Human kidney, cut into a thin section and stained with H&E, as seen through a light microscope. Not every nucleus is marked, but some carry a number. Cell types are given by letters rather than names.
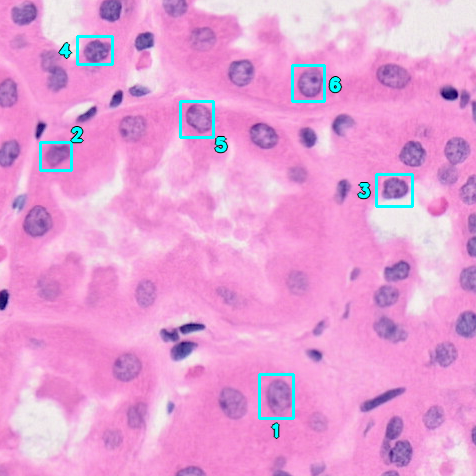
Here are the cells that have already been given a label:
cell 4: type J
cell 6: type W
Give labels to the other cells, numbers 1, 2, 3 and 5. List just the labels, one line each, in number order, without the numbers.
type W
type W
type J
type W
